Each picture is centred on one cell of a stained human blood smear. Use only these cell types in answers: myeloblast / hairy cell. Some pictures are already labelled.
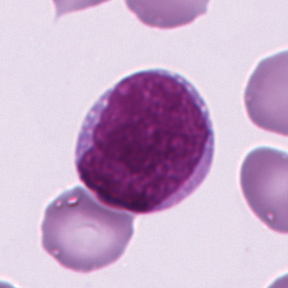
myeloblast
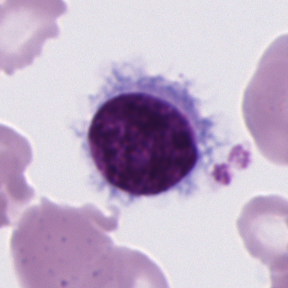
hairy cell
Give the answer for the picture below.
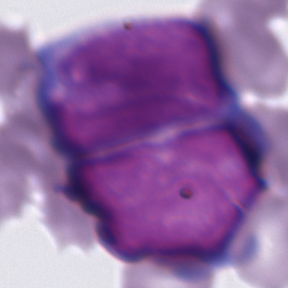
myeloblast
